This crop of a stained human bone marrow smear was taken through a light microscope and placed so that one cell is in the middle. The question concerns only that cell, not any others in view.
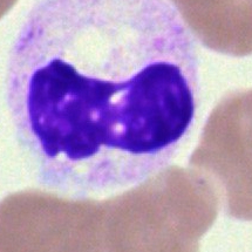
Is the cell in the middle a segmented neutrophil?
no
